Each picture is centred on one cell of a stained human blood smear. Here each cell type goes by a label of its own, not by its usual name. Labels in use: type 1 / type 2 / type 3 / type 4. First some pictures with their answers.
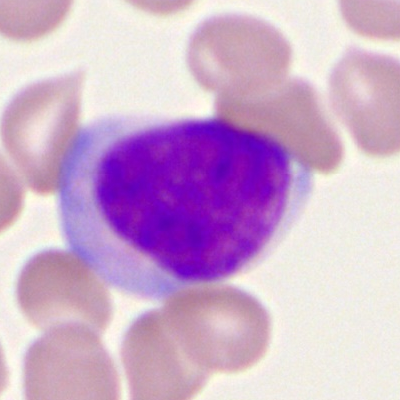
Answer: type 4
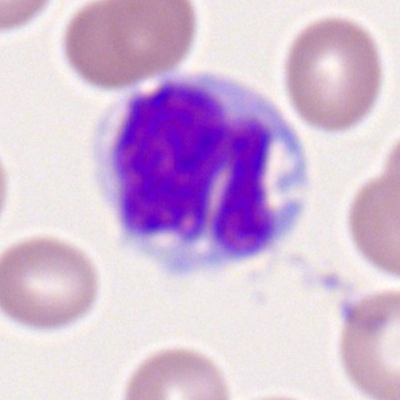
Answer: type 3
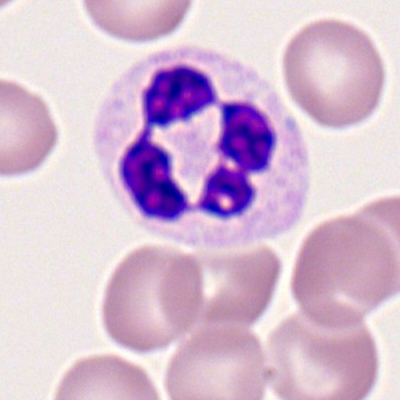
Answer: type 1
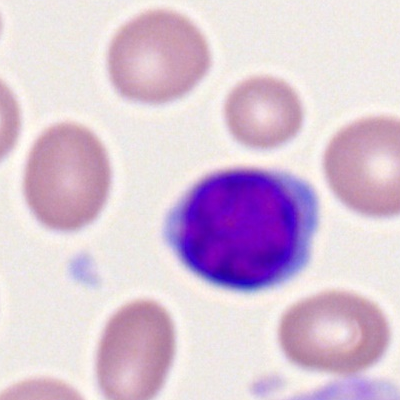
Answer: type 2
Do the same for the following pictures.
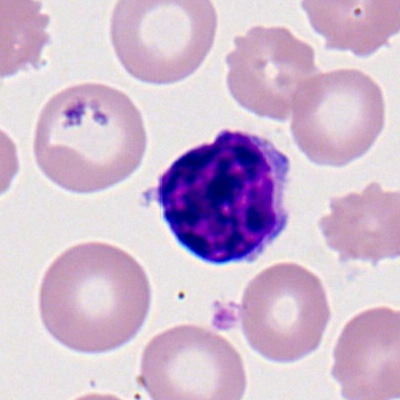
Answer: type 2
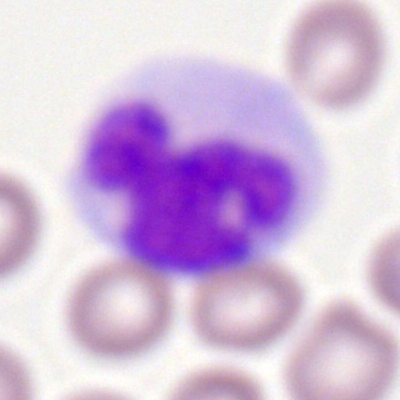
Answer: type 3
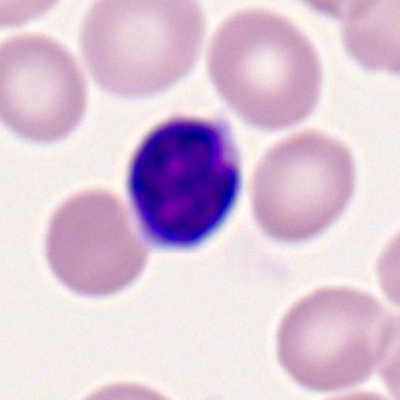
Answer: type 2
